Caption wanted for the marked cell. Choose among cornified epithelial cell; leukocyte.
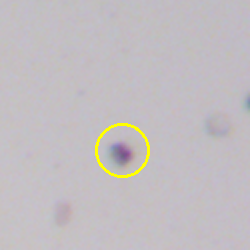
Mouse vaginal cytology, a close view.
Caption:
Ringed in yellow is a leukocyte.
